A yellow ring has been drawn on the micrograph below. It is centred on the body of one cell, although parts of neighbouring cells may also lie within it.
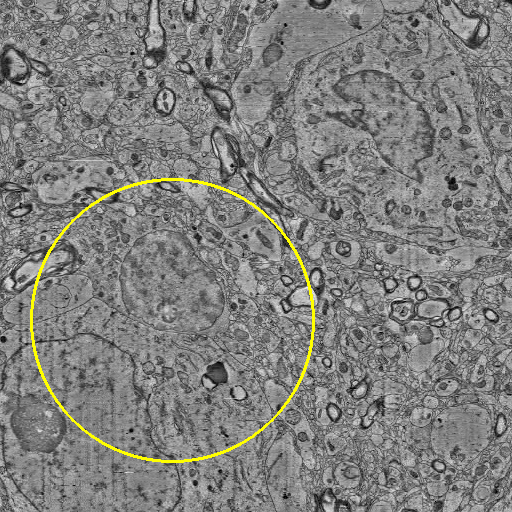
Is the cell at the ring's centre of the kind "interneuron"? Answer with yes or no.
no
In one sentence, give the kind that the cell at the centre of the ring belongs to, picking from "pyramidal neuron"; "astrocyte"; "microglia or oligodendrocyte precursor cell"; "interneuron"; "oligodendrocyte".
Sitting at the ring centre is an oligodendrocyte.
